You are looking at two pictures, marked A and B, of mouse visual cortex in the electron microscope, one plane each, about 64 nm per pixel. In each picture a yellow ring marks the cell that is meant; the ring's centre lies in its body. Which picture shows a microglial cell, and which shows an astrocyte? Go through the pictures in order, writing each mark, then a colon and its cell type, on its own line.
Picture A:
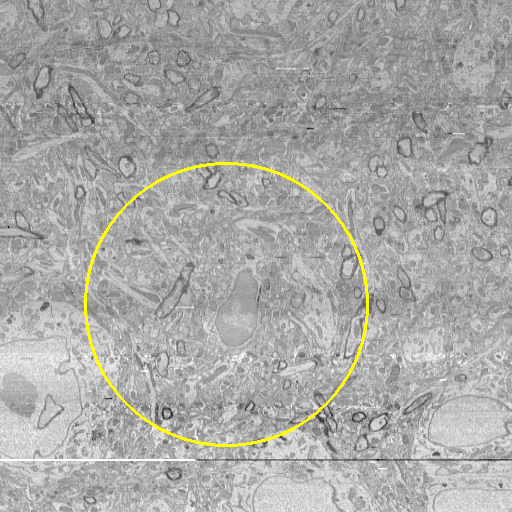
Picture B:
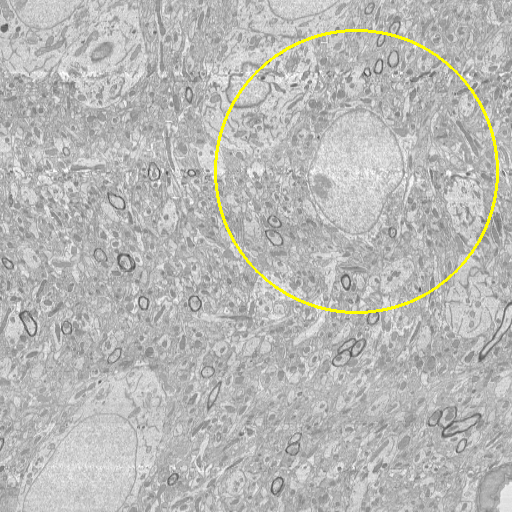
A: microglial cell
B: astrocyte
